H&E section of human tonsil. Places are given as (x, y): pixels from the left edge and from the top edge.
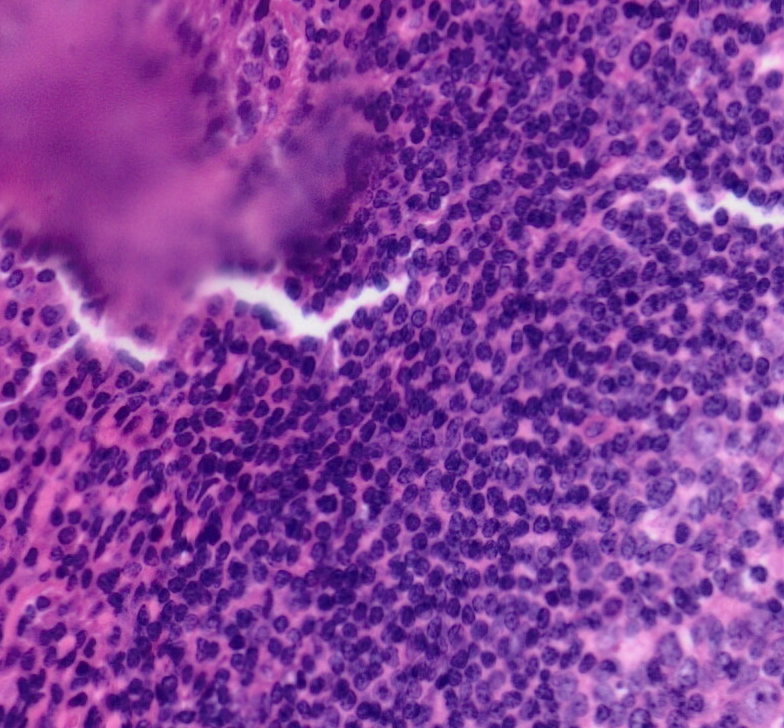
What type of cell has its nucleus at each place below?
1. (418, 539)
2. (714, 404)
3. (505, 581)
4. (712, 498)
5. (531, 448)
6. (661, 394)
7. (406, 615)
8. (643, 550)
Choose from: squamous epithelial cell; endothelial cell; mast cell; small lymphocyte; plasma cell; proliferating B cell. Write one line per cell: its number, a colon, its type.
1: small lymphocyte
2: proliferating B cell
3: small lymphocyte
4: proliferating B cell
5: small lymphocyte
6: small lymphocyte
7: small lymphocyte
8: proliferating B cell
